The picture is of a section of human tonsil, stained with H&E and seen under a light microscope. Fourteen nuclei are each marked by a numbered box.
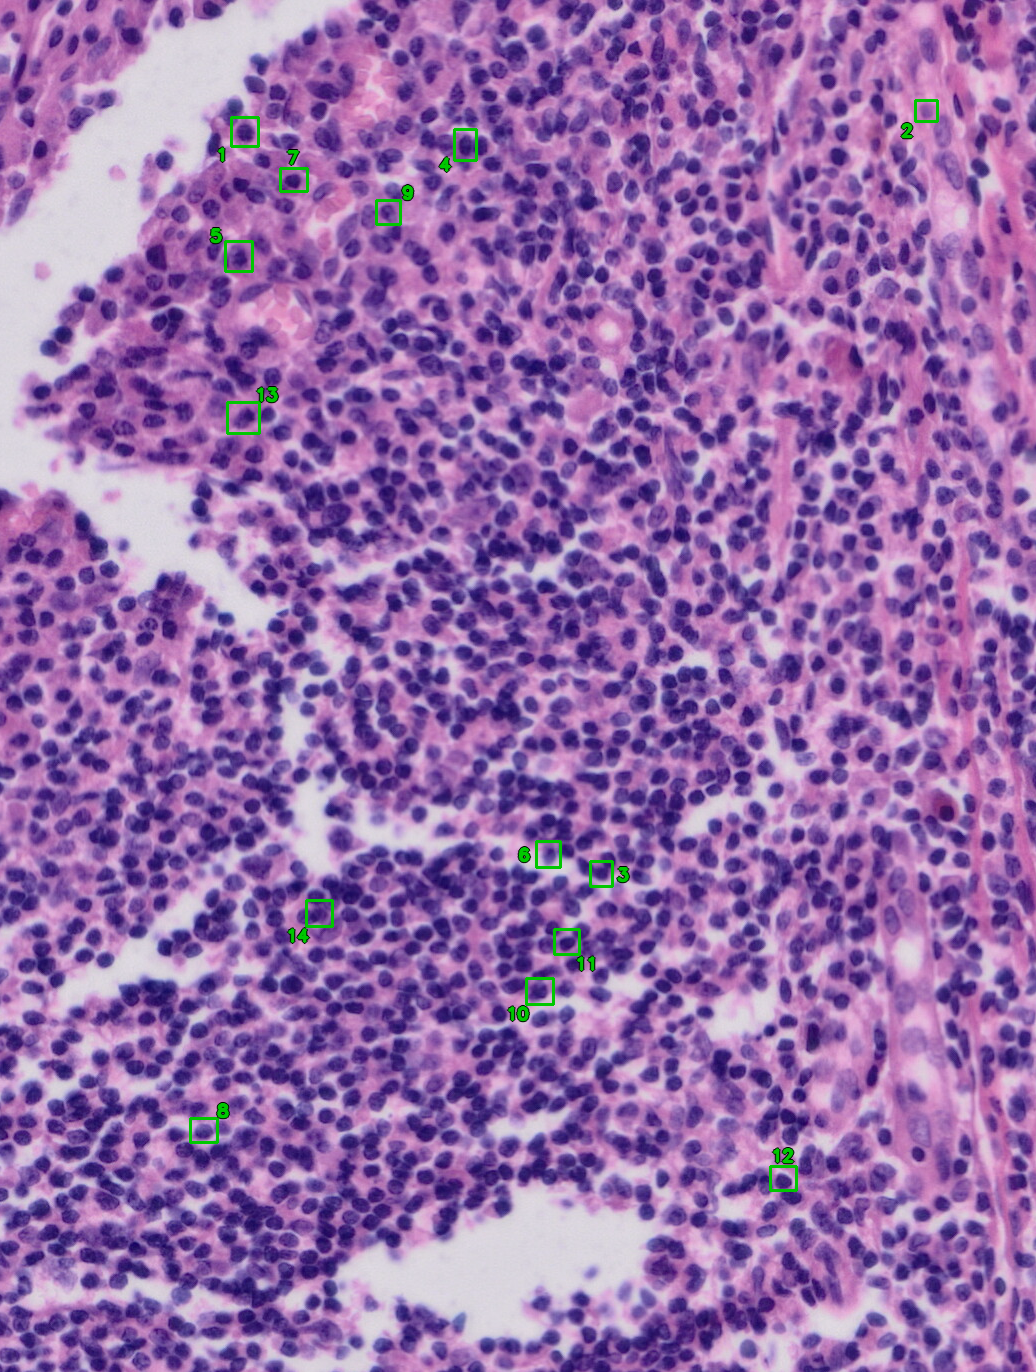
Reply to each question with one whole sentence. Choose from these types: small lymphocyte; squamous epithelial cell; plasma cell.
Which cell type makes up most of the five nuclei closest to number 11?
Around number 11, most of the five nearest nuclei are those of small lymphocytes.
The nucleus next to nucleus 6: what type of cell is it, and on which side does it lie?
It is a small lymphocyte, whose nucleus lies to the right of nucleus 6.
